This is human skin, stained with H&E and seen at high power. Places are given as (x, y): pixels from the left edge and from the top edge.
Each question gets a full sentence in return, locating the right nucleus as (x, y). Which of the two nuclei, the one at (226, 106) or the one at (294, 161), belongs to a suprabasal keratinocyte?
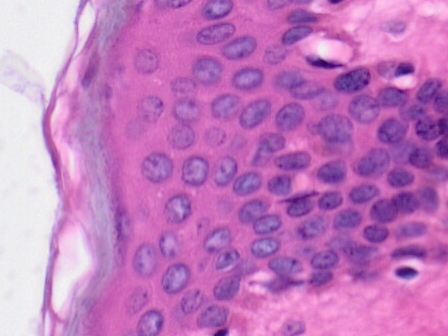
Among the two nuclei, the one lying at (226, 106) is part of a suprabasal keratinocyte.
